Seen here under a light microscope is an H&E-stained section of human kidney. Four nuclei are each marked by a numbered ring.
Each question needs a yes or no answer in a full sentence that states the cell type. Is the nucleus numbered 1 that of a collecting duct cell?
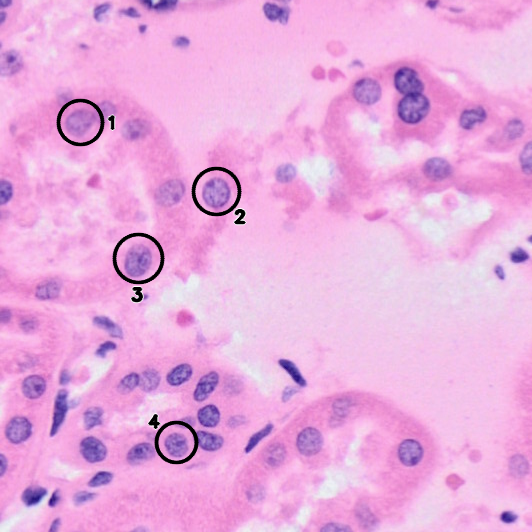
No, the marker 1 sits on a proximal tubule cell, not on a collecting duct cell.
